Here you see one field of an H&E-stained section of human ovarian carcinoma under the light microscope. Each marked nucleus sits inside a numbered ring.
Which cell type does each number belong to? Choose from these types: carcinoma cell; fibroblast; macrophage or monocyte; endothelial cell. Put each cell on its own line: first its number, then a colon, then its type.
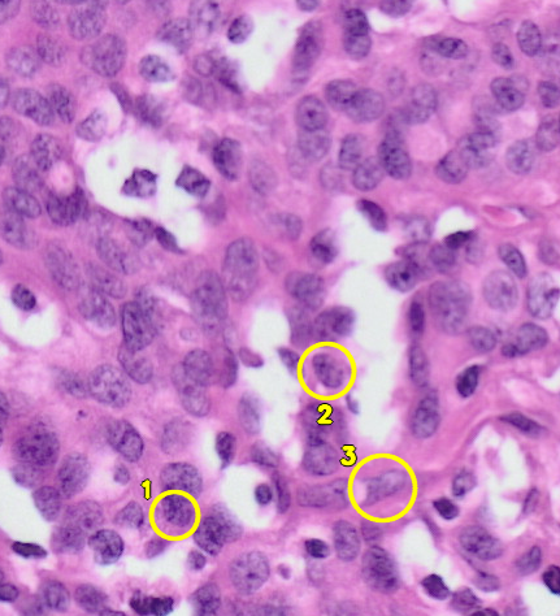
1: carcinoma cell
2: macrophage or monocyte
3: endothelial cell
